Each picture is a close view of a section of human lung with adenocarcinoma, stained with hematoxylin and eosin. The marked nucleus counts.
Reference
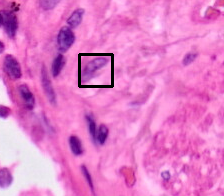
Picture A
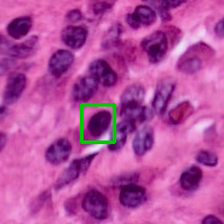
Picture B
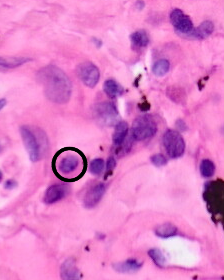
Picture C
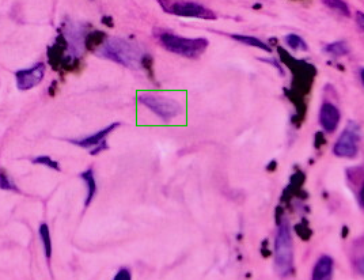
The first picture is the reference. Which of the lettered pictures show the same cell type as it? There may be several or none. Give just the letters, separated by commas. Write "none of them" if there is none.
C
